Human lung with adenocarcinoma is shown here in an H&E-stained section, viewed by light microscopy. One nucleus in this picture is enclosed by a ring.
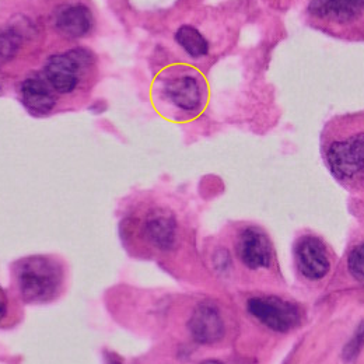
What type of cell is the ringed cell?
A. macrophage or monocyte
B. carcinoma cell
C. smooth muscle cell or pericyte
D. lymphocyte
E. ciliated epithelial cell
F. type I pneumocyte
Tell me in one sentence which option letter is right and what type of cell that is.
Option A is the one that fits, as the ringed cell is a macrophage or monocyte.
